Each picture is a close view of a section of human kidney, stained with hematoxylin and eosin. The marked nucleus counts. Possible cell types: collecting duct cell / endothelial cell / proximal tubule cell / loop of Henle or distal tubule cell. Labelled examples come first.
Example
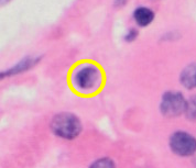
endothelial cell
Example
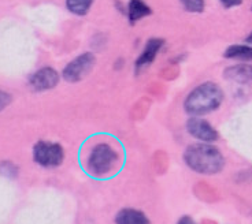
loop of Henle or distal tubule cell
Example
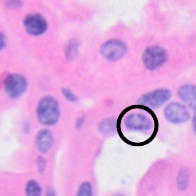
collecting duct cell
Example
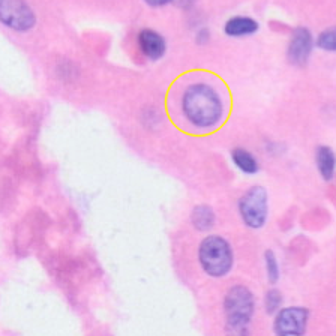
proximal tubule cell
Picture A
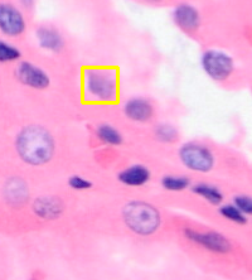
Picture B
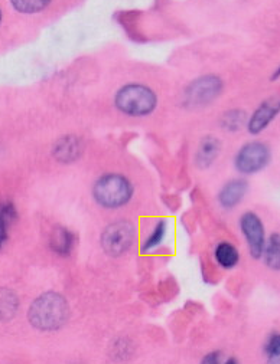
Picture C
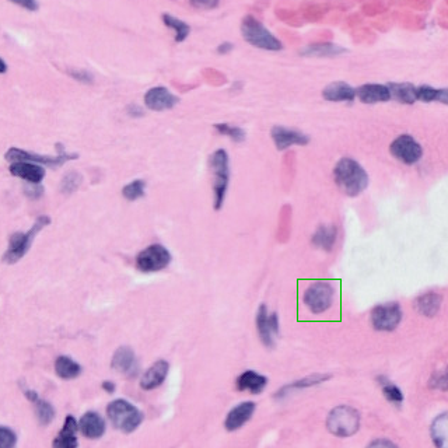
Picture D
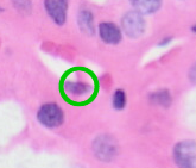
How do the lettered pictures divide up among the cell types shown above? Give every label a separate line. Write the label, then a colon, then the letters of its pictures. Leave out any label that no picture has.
endothelial cell: B, D
loop of Henle or distal tubule cell: A, C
